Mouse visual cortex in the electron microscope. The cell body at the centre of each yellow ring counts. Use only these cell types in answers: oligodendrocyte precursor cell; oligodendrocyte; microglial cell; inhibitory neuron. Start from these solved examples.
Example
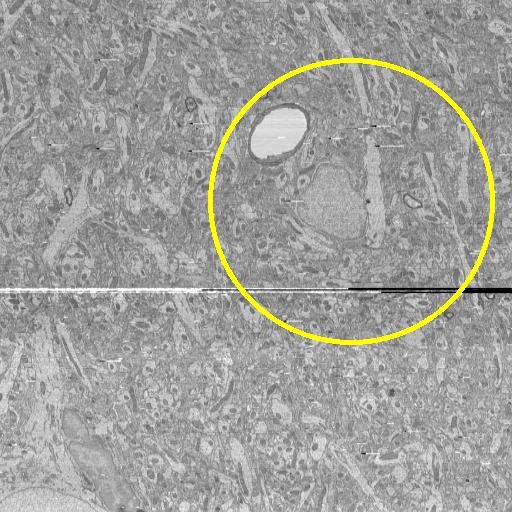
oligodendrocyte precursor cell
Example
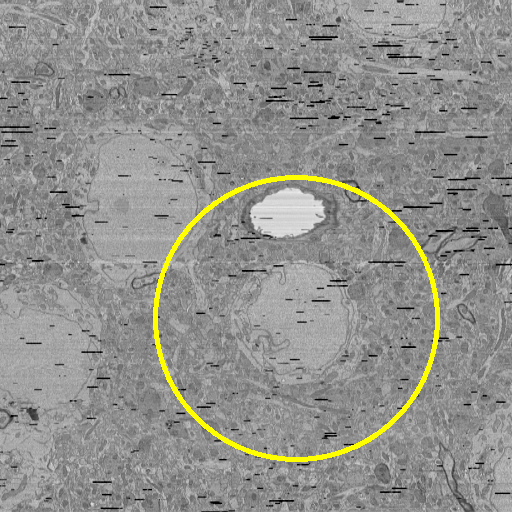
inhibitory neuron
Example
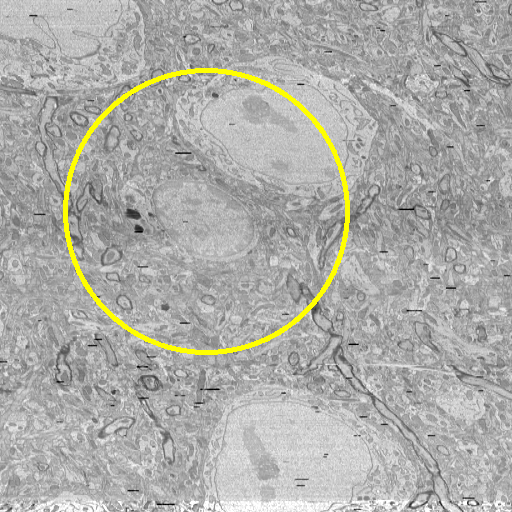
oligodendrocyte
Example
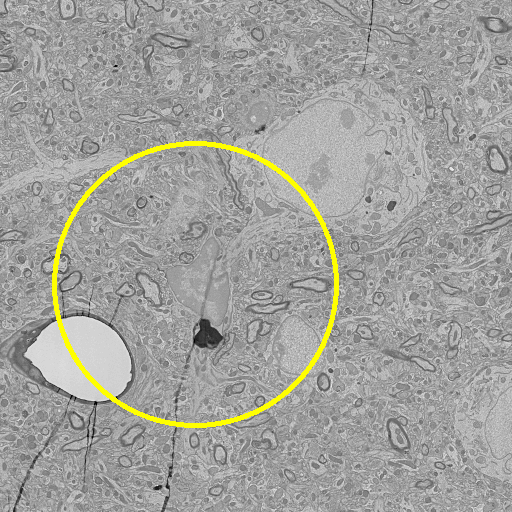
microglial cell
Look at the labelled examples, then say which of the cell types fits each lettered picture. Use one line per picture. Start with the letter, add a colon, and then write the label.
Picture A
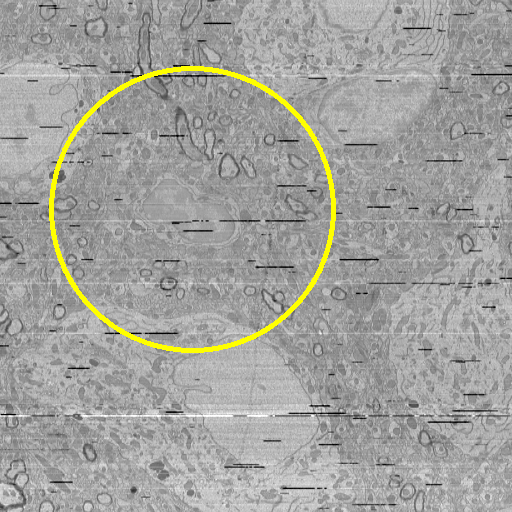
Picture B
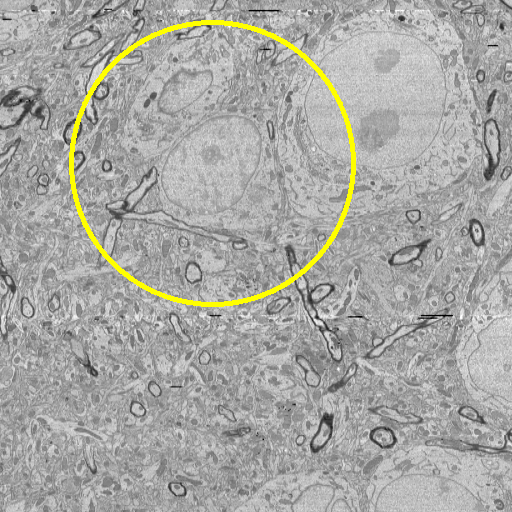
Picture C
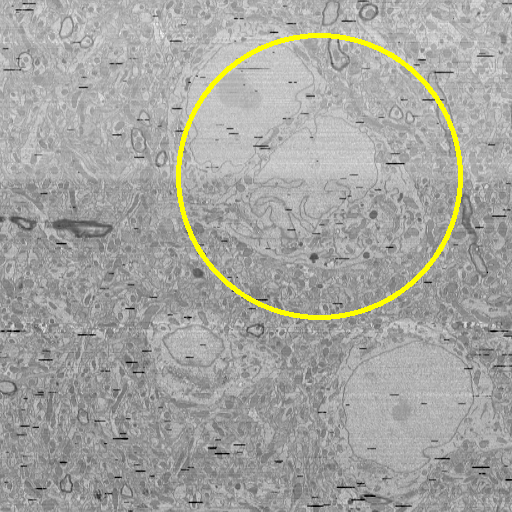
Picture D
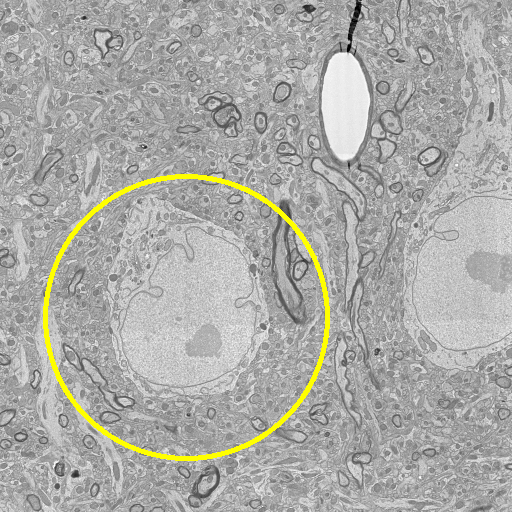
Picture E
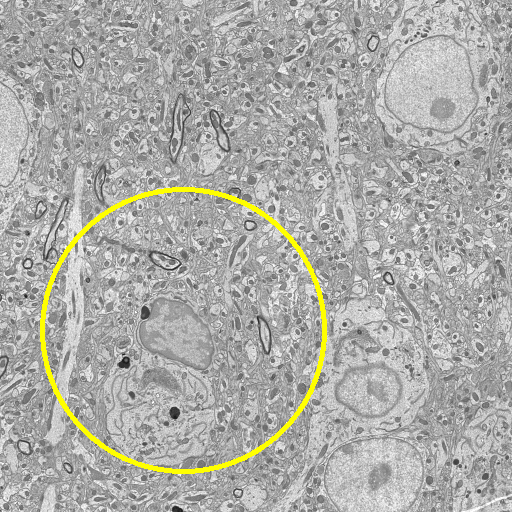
A: microglial cell
B: oligodendrocyte
C: inhibitory neuron
D: inhibitory neuron
E: microglial cell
